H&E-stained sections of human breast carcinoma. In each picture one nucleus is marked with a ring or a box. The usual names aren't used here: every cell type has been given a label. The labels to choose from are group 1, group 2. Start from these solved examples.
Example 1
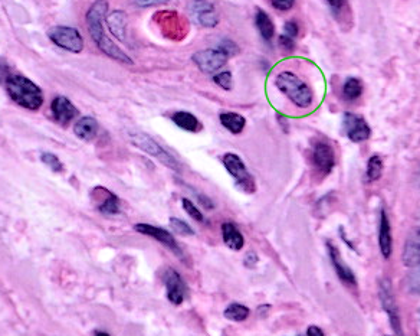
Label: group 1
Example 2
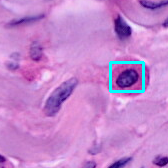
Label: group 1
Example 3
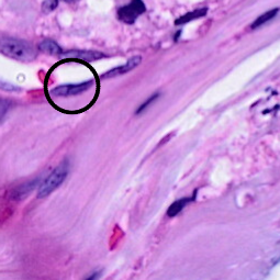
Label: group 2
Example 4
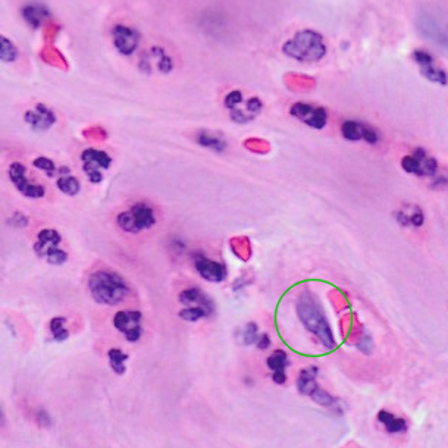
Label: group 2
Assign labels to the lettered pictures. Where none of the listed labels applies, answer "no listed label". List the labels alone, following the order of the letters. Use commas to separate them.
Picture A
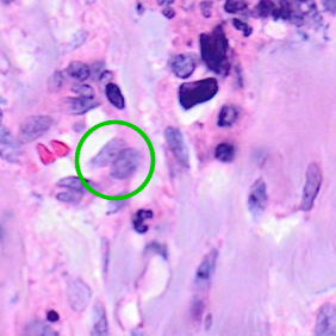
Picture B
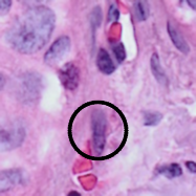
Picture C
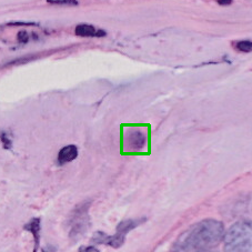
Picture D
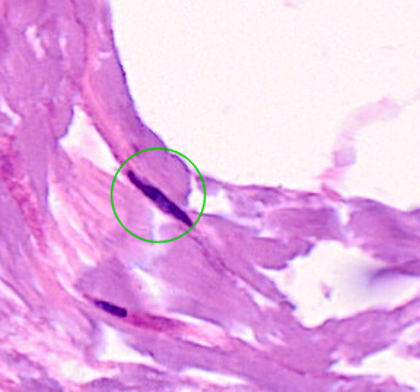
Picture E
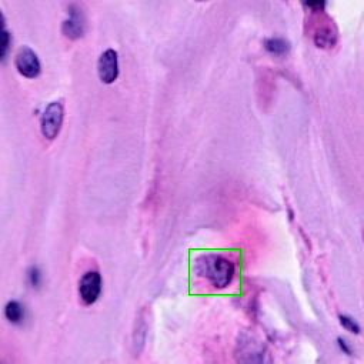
group 2, group 2, group 1, no listed label, group 1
